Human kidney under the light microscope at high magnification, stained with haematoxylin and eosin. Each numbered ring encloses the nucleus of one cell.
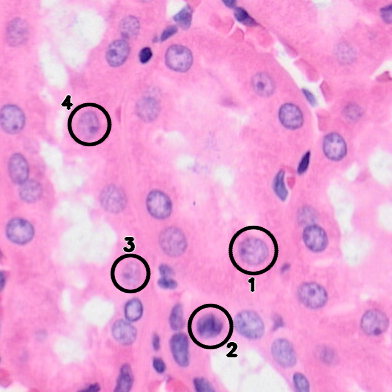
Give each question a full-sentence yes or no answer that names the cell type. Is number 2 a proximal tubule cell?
No, number 2 belongs to a collecting duct cell, not to a proximal tubule cell.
